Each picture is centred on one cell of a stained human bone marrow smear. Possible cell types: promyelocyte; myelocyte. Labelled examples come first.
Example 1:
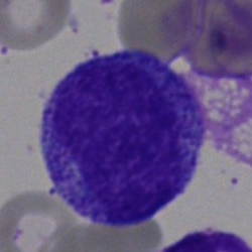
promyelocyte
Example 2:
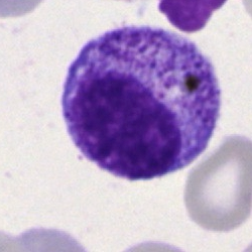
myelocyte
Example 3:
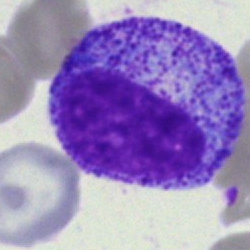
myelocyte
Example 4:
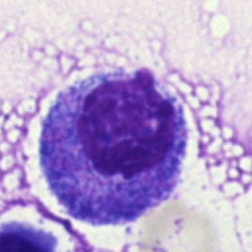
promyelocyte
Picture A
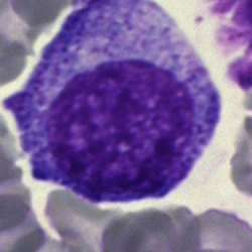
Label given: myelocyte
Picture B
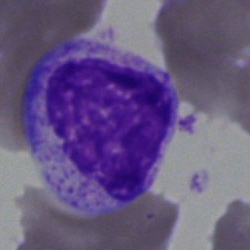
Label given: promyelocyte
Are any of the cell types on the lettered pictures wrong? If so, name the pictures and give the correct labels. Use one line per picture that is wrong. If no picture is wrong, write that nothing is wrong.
A: promyelocyte, not myelocyte
B: myelocyte, not promyelocyte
